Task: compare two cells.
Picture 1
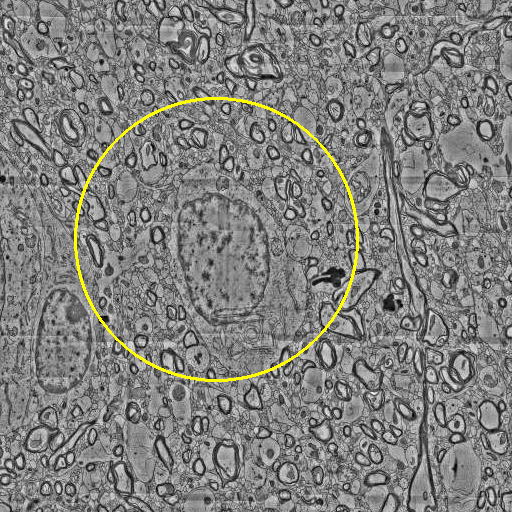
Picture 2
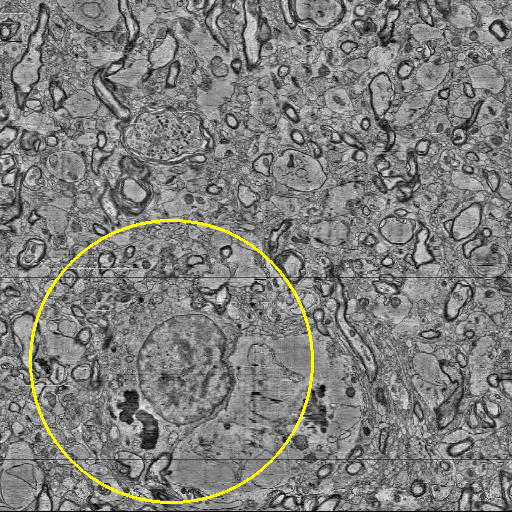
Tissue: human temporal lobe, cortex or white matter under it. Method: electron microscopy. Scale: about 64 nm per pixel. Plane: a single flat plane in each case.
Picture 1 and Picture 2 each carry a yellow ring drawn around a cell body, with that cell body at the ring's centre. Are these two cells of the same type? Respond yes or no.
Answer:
no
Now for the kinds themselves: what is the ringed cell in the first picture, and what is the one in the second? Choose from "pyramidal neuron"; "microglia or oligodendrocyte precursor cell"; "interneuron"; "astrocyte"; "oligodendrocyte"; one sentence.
Here the first cell is an interneuron and the second cell is an oligodendrocyte.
